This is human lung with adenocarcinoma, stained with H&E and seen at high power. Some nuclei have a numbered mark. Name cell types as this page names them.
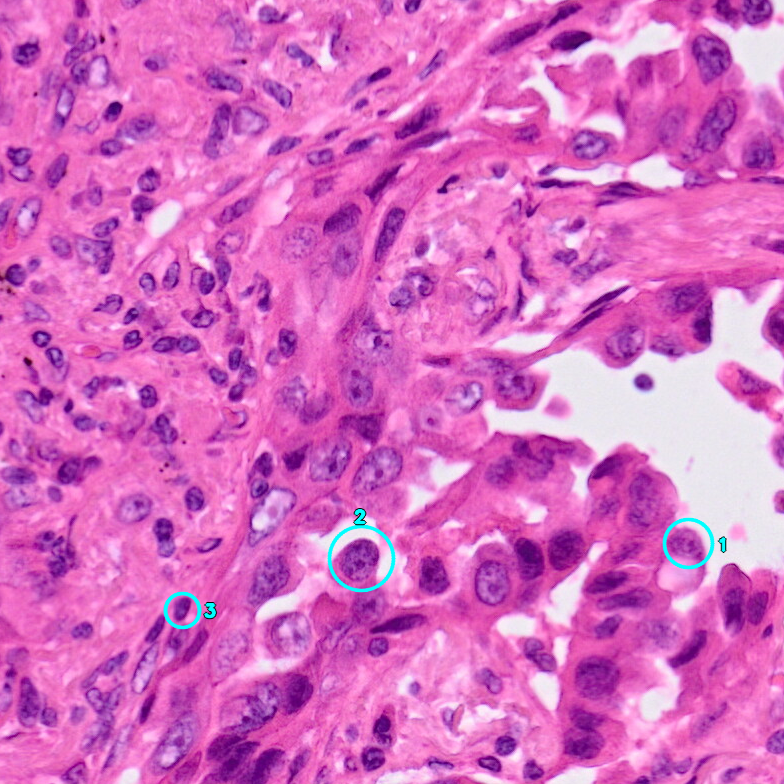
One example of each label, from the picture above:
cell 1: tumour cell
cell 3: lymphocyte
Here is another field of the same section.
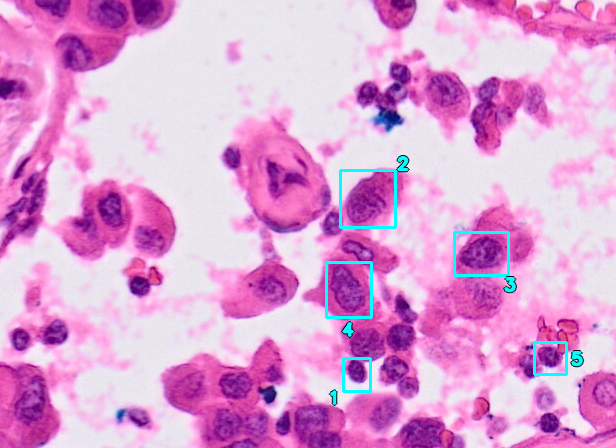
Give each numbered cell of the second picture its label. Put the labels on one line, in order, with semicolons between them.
lymphocyte; tumour cell; tumour cell; tumour cell; lymphocyte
